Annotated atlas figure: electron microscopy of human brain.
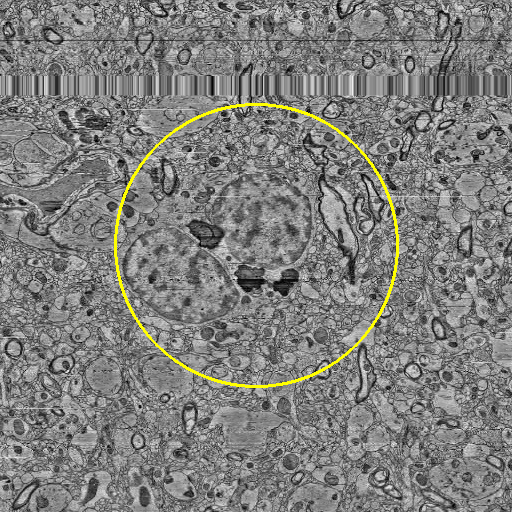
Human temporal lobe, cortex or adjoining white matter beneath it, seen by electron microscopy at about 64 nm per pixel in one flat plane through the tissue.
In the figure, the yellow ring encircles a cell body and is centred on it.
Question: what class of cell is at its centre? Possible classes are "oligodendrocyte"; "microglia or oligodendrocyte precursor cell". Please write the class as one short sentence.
The yellow ring is drawn around an oligodendrocyte.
